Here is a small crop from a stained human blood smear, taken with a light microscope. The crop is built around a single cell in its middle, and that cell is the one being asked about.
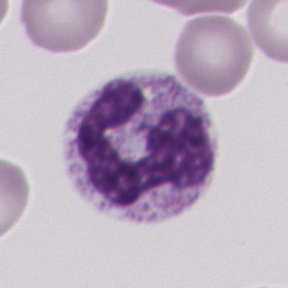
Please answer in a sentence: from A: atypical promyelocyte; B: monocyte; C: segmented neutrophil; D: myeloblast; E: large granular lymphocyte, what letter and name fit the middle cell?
The cell positioned centrally is a segmented neutrophil, as given in option C, which is correct.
